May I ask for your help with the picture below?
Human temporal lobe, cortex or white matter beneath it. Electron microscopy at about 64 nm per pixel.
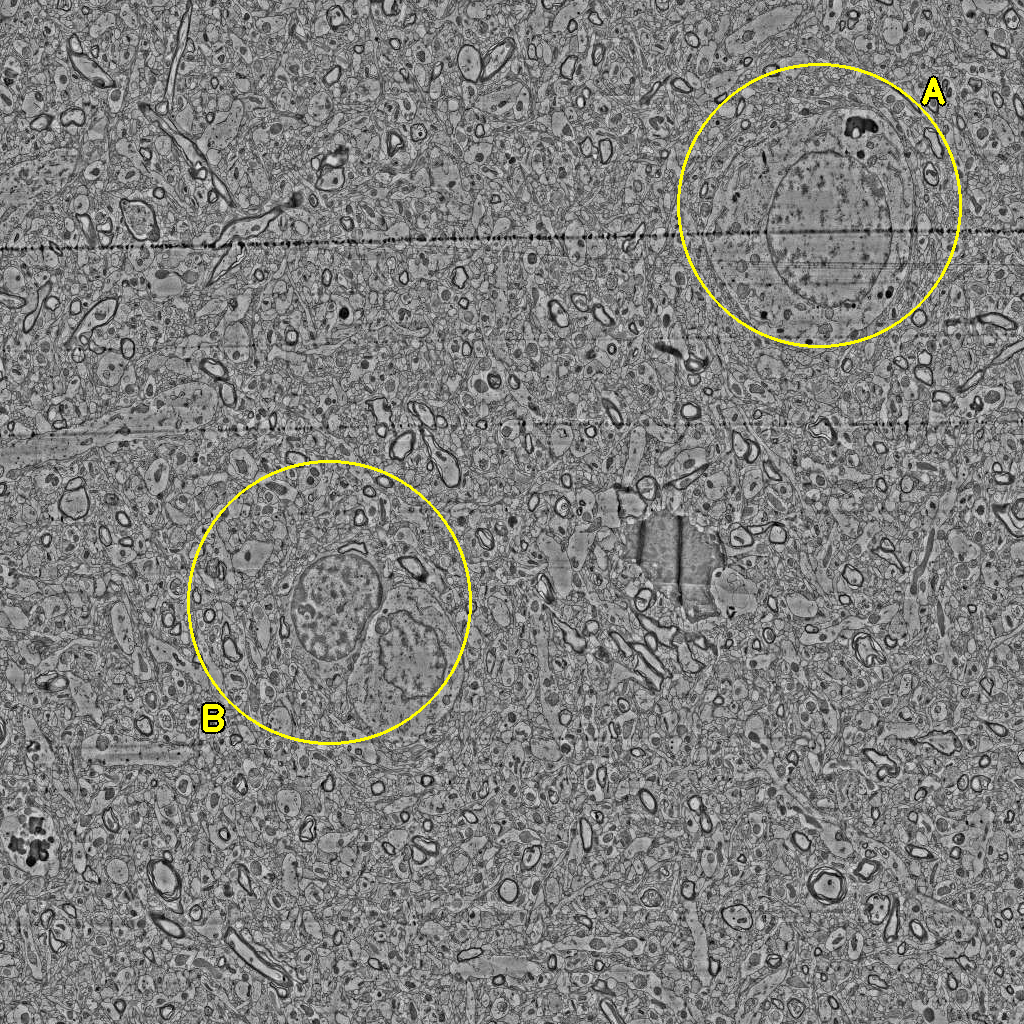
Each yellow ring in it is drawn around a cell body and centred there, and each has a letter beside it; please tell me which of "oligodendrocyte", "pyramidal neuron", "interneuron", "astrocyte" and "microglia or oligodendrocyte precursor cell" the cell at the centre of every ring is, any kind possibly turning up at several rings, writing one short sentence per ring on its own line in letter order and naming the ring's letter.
Ring A is drawn around the cell body of a pyramidal neuron.
Ring B is drawn around the cell body of an oligodendrocyte.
